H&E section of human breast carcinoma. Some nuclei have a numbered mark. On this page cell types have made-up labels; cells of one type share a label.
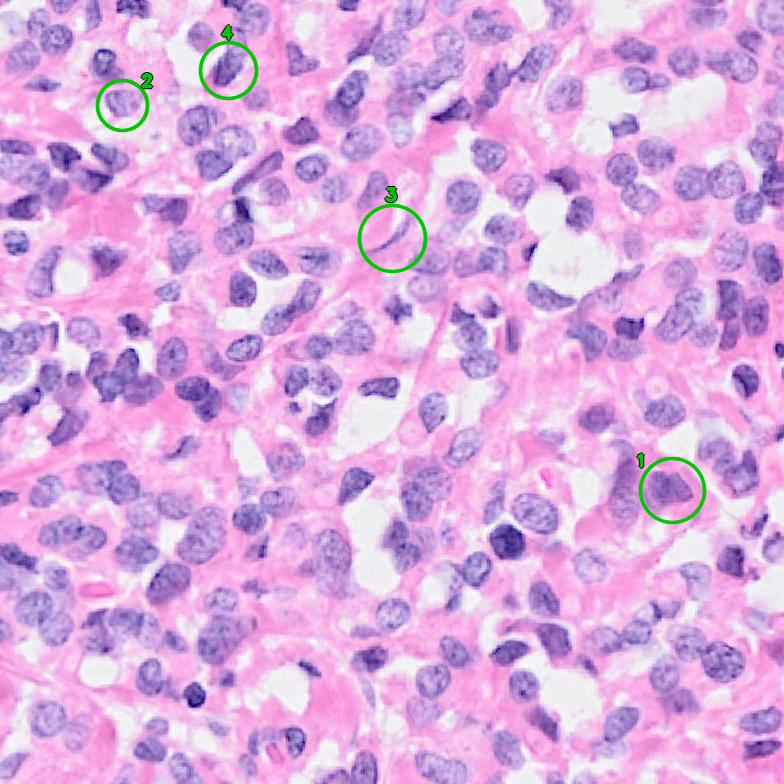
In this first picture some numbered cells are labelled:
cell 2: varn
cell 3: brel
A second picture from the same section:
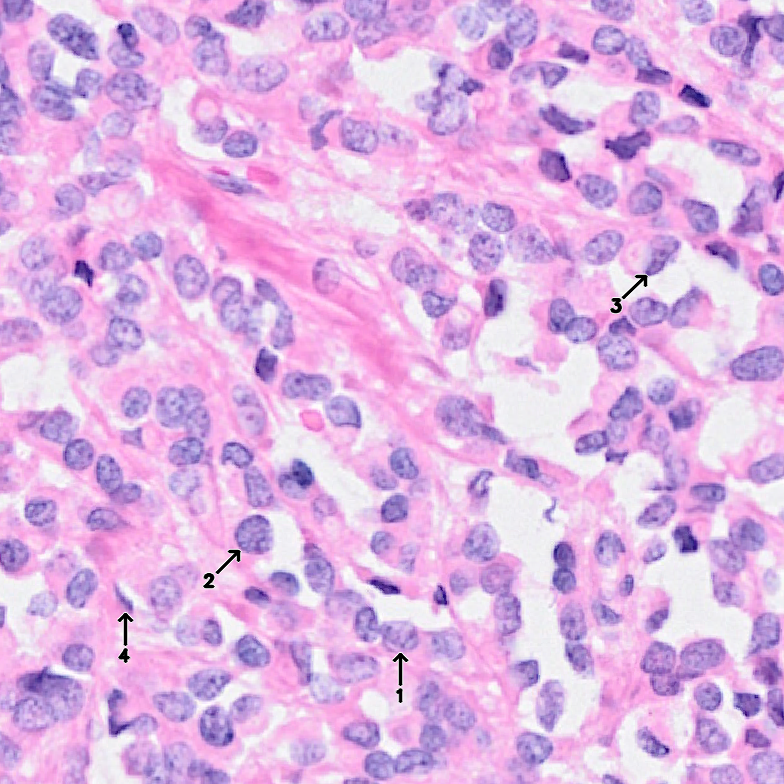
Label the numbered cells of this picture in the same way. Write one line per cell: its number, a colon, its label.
1: varn
2: varn
3: varn
4: brel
